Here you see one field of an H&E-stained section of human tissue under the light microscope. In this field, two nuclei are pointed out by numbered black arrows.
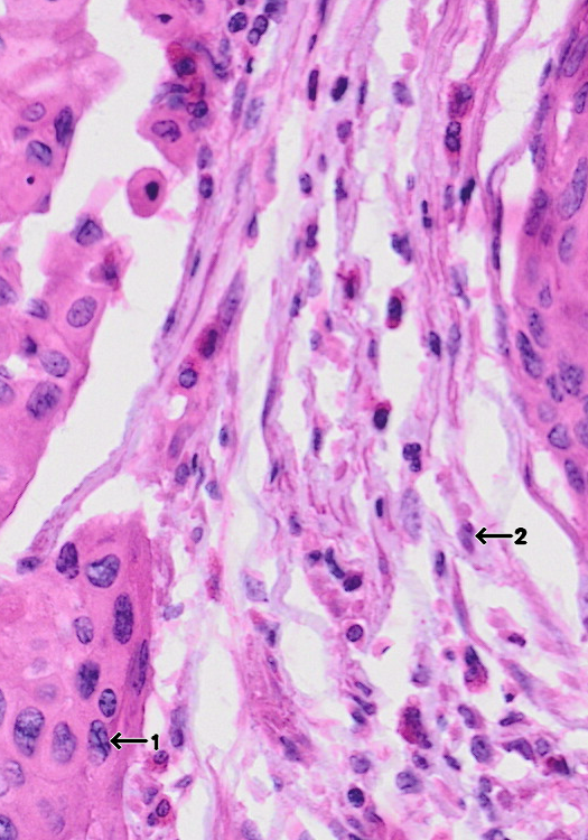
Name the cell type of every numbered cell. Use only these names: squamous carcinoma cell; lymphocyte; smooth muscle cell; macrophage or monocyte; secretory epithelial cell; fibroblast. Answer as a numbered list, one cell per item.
1. squamous carcinoma cell
2. fibroblast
